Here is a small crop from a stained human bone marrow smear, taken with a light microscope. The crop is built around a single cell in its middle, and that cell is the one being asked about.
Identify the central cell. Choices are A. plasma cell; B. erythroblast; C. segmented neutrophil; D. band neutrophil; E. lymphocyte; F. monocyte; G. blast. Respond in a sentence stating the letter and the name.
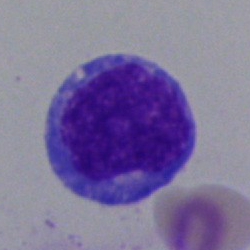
The cell at the centre, correctly named in option G, is a blast.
